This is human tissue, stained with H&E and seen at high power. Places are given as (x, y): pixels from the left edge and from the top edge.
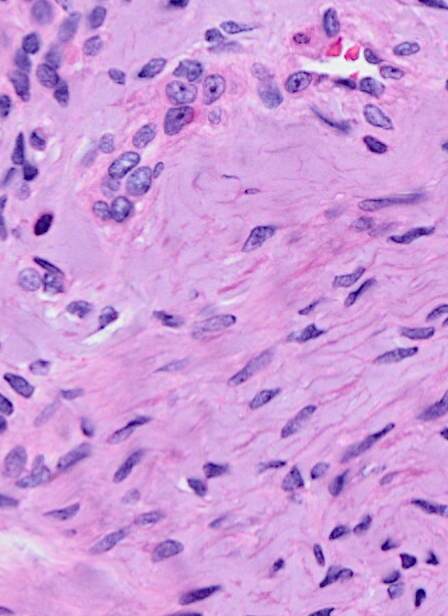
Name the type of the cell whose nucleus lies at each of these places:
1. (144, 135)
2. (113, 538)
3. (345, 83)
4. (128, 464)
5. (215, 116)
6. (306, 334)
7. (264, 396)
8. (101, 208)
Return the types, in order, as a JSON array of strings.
["endothelial cell", "smooth muscle cell", "endothelial cell", "fibroblast", "endothelial cell", "fibroblast", "fibroblast", "endothelial cell"]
